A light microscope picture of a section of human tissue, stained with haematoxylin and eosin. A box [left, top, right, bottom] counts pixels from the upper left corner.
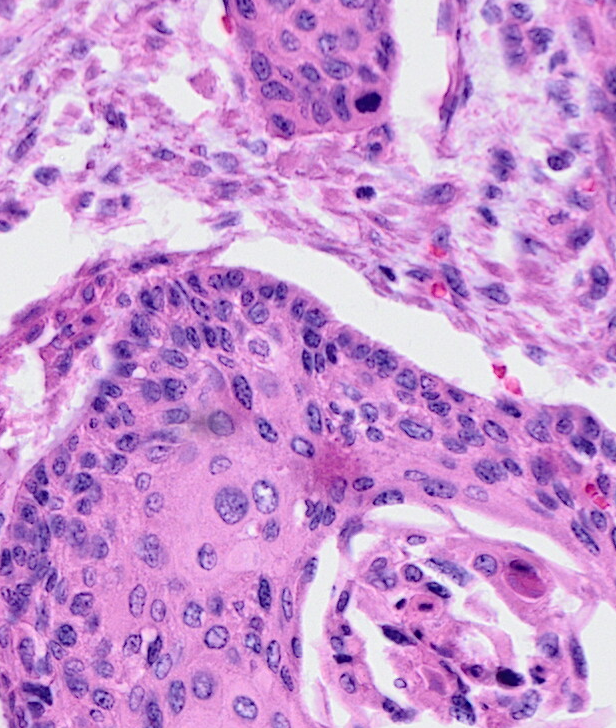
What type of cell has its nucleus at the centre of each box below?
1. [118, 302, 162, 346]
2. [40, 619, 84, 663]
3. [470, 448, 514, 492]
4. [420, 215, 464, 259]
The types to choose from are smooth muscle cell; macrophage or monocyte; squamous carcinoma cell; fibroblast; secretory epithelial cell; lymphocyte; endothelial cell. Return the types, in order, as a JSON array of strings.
["squamous carcinoma cell", "squamous carcinoma cell", "squamous carcinoma cell", "endothelial cell"]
